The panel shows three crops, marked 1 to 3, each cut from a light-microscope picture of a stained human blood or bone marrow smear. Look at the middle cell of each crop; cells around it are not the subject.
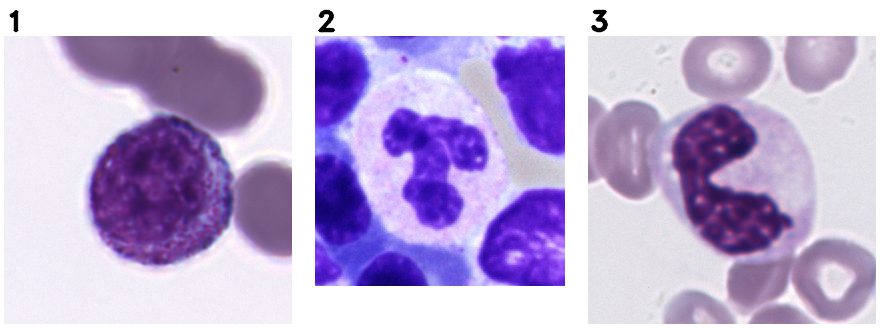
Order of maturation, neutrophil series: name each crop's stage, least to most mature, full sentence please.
In ascending maturational order, the crops are crop 1 (a promyelocyte), crop 3 (a band neutrophil) and crop 2 (a segmented neutrophil).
